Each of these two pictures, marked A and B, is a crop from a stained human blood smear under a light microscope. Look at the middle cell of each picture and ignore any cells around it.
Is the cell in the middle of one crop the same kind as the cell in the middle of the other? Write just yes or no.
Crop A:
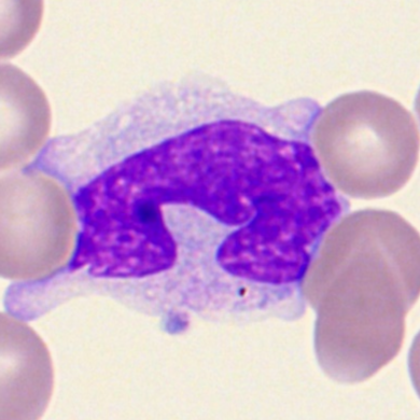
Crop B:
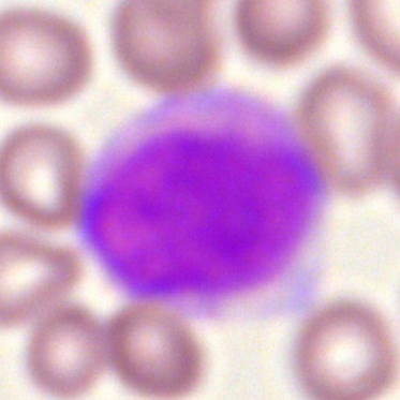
yes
